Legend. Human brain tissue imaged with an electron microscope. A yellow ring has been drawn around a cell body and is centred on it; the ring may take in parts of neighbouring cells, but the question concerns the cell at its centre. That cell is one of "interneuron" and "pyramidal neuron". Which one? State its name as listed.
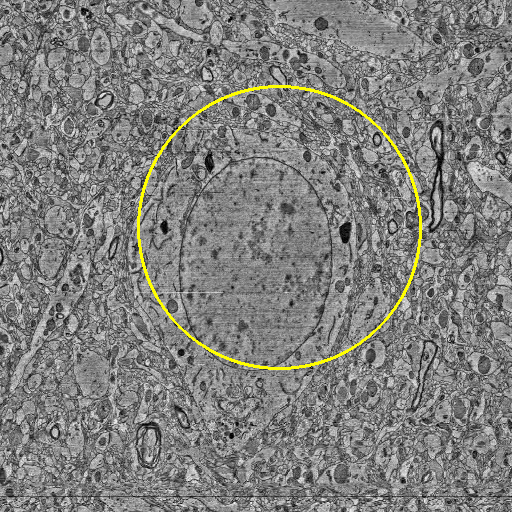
pyramidal neuron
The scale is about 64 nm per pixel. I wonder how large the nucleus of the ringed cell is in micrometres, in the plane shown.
Approximately 14 micrometres long and 10 micrometres wide, in this plane.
